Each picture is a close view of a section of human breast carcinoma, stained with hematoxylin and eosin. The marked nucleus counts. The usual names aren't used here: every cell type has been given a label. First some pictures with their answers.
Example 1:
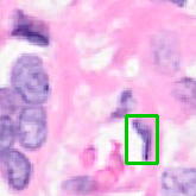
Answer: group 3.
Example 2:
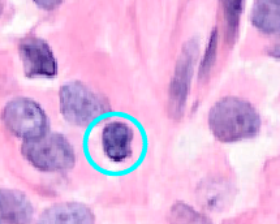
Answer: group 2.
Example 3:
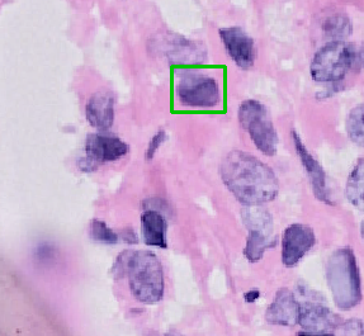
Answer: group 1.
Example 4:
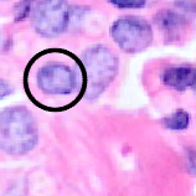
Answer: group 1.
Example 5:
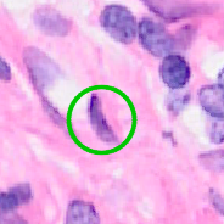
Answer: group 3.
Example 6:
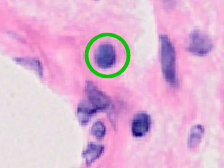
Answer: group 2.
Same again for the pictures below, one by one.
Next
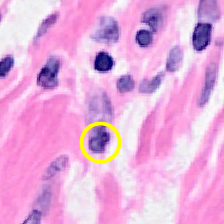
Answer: group 2.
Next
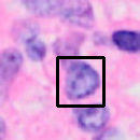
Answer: group 1.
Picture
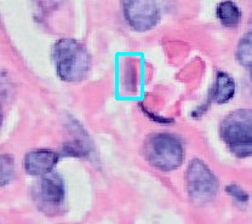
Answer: group 3.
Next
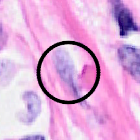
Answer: group 3.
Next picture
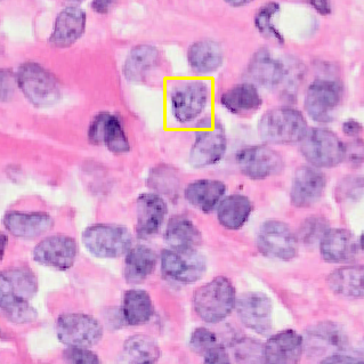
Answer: group 1.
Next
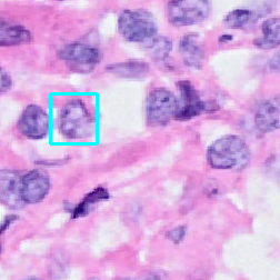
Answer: group 1.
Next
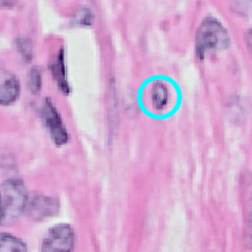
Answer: group 3.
